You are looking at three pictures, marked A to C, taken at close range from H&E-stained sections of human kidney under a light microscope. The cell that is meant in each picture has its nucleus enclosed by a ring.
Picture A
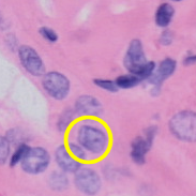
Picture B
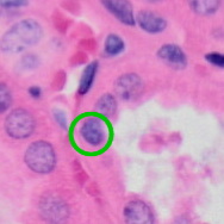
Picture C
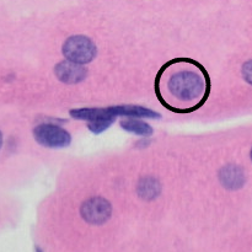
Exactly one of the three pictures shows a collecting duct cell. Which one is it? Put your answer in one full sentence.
Picture A is the one that shows the collecting duct cell.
